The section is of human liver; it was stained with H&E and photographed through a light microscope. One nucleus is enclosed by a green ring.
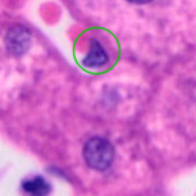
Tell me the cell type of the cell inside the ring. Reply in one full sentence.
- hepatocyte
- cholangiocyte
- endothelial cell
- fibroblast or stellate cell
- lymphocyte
This is an endothelial cell.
